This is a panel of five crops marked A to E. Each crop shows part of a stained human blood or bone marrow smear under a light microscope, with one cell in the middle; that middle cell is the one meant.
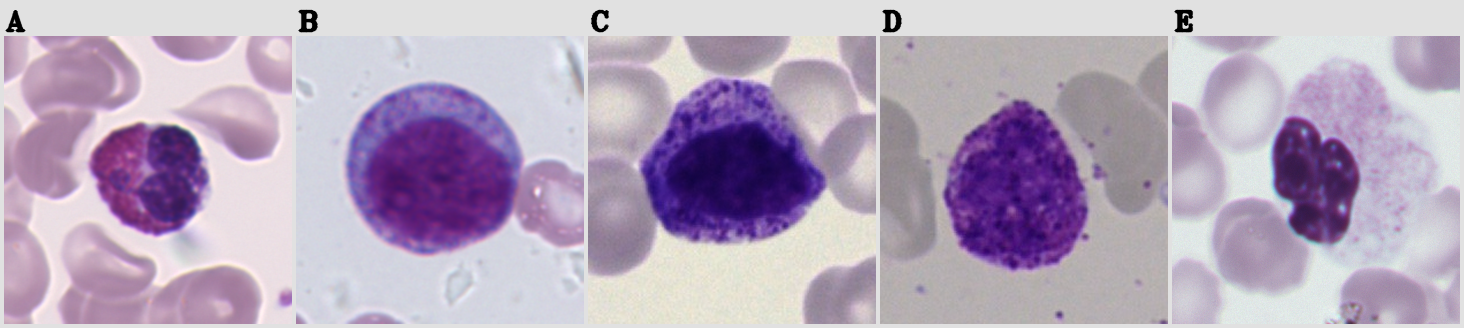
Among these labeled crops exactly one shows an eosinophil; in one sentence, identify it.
Among all the crops given here, the one with an eosinophil is crop A.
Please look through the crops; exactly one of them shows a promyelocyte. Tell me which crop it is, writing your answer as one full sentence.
Among the crops provided, a promyelocyte occupies the center of crop B.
